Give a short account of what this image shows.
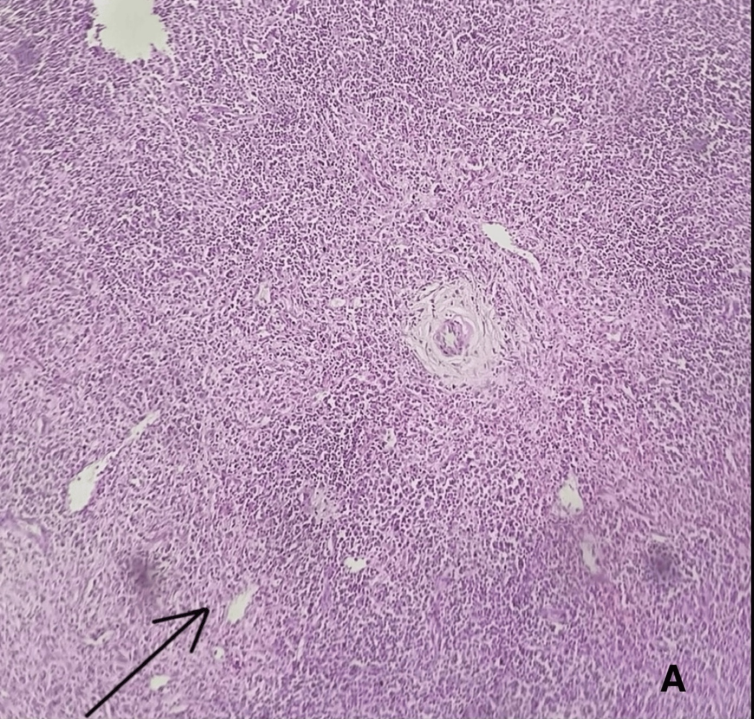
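This is lymphoid tissue seen at low power, with lymphoid follicles among densely packed small cells that have dark nuclei. The normal pale spaces between the follicles are hard to make out, because the cells form nearly continuous sheets. At the centre lies a small vessel with a thickened, pale pink, concentrically layered wall.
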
